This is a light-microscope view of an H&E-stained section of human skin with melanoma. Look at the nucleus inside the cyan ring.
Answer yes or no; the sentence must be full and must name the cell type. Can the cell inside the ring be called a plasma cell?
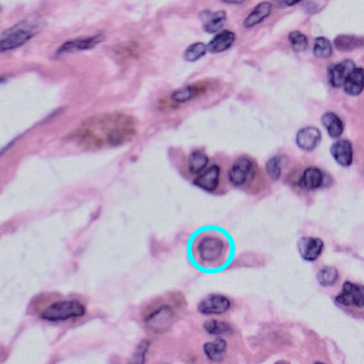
No, the identity of the cell inside the ring is a macrophage or monocyte, not a plasma cell.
